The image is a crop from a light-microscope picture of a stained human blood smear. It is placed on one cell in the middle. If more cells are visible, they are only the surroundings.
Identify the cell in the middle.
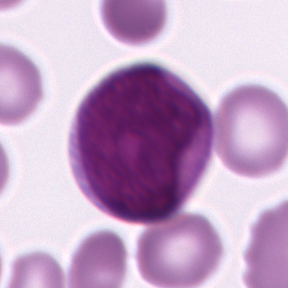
blast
